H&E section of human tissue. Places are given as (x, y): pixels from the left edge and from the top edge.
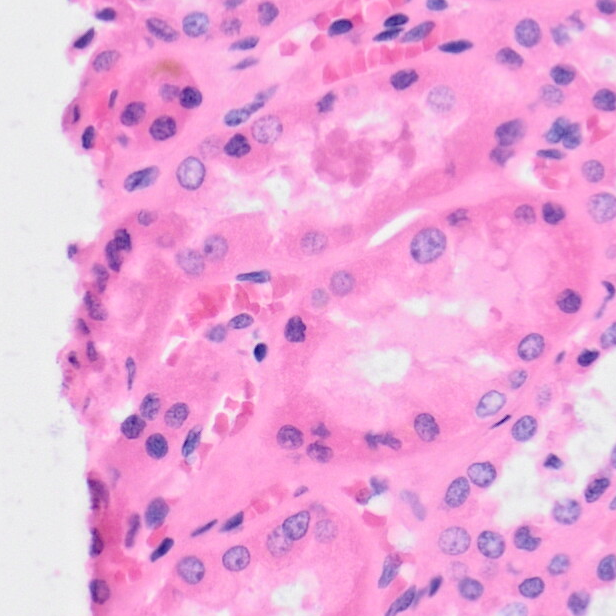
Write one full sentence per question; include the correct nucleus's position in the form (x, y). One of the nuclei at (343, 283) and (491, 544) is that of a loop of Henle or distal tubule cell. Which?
Of the pair, the nucleus located at (491, 544) belongs to a loop of Henle or distal tubule cell.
